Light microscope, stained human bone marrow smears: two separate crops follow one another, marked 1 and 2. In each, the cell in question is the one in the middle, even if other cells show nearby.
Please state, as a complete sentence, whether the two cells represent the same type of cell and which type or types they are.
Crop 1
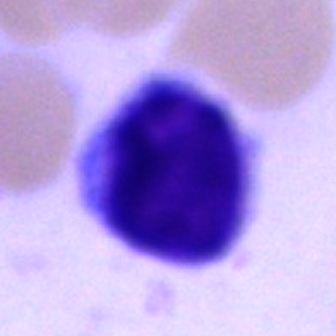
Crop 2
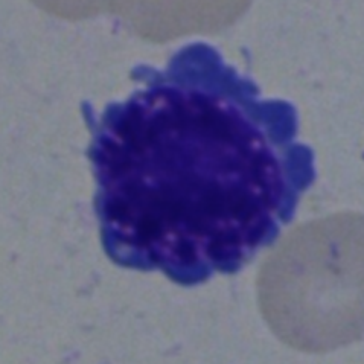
No, the cell that crop 1 shows is a lymphocyte, and the one crop 2 shows is an erythroblast.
